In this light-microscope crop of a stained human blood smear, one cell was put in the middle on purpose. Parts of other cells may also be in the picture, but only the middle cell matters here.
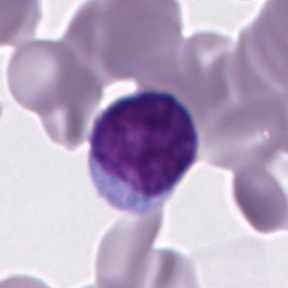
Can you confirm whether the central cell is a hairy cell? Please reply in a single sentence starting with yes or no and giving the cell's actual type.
No, the cell in the middle is categorised as a typical lymphocyte, not a hairy cell.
